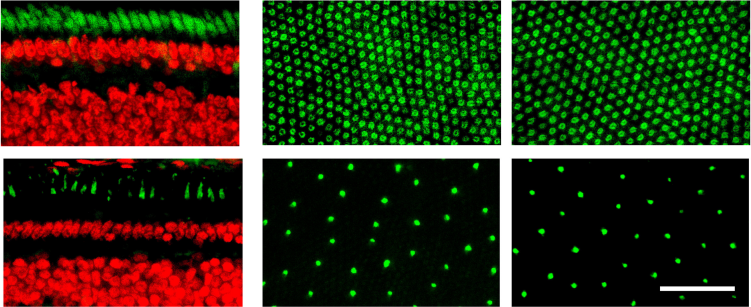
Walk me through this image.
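These are fluorescent images of retina showing cone photoreceptors, both in cross-section and in flat mounts viewed face-on. In the sections, two bands of red nuclei are stacked, and green elongated outer parts of the photoreceptors stand in a palisade above the outer band of nuclei. In the upper row these green parts are closely packed, whereas in the lower row they are fewer and scattered. In the flat mounts, the upper row shows a dense, regular mosaic of green rings, while the lower row shows small green dots spread sparsely but evenly across a dark field.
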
